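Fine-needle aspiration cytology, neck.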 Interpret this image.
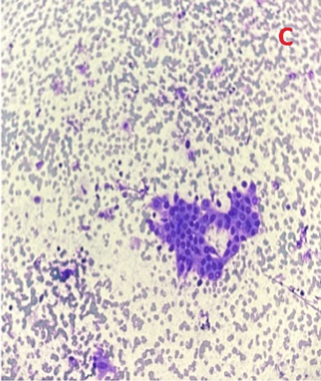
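This aspirate shows a cohesive group of oncocytic cells lying in a background crowded with lymphocytes. The central cluster is made of cells with dense purple cytoplasm and round nuclei, packed together with a small clear space in the middle. The background cells are much smaller than the clustered cells and show little cytoplasm.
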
